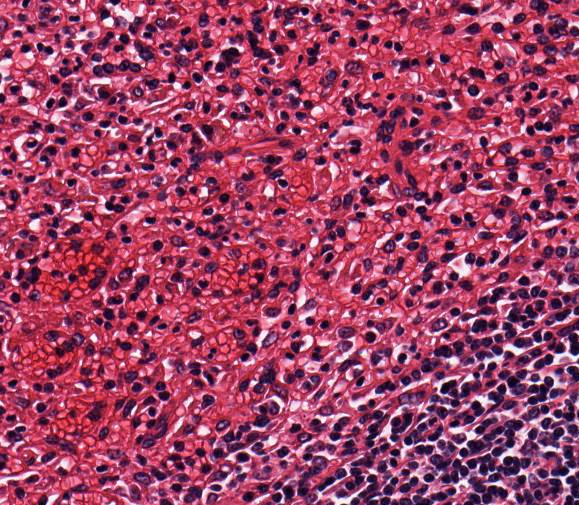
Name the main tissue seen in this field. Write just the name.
red pulp of the spleen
